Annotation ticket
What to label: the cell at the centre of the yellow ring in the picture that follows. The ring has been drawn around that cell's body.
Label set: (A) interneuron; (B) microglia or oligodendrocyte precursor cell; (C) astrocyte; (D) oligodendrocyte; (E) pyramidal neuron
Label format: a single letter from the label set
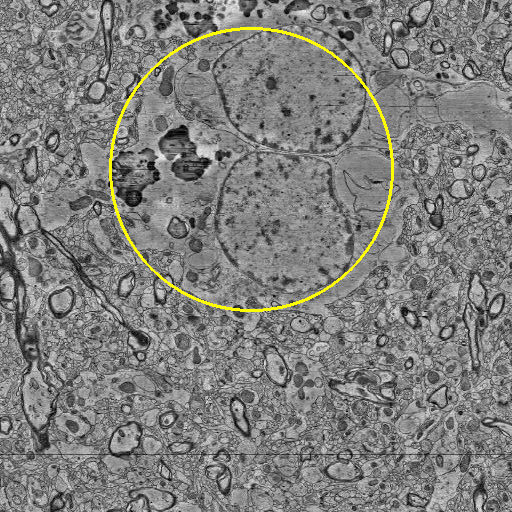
C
